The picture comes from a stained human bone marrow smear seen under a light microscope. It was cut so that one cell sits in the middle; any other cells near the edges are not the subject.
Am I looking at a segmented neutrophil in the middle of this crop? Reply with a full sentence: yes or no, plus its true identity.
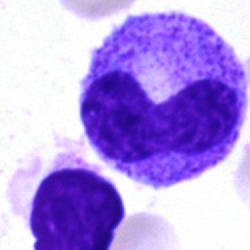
No, the cell in the middle is a band neutrophil, not a segmented neutrophil.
